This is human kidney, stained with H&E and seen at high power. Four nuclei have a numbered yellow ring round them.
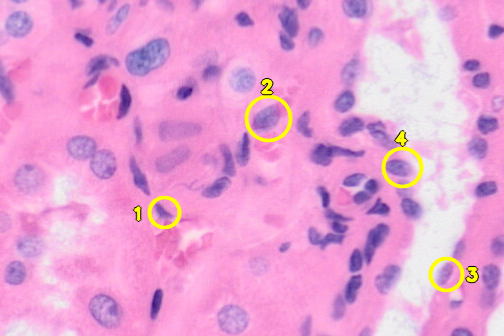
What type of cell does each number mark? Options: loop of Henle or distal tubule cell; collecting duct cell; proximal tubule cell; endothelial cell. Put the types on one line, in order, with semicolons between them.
endothelial cell; endothelial cell; loop of Henle or distal tubule cell; loop of Henle or distal tubule cell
